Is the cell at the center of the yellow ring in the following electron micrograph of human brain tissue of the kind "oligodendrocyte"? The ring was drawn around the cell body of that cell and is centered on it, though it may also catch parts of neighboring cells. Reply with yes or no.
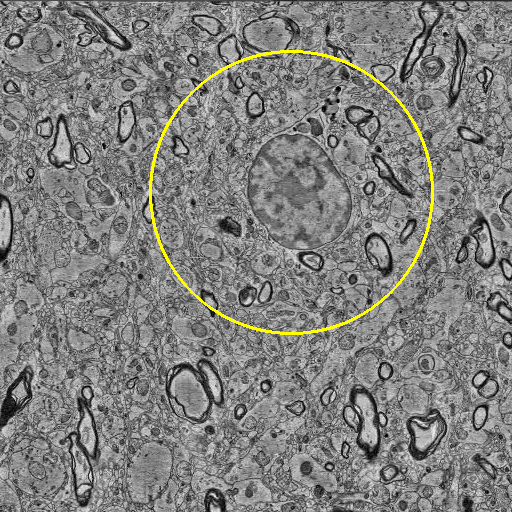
No, it is of another kind.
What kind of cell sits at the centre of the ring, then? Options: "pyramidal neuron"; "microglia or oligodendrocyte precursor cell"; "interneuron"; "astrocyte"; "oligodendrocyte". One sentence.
This picture has a microglial cell or oligodendrocyte precursor cell at the centre of its ring.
